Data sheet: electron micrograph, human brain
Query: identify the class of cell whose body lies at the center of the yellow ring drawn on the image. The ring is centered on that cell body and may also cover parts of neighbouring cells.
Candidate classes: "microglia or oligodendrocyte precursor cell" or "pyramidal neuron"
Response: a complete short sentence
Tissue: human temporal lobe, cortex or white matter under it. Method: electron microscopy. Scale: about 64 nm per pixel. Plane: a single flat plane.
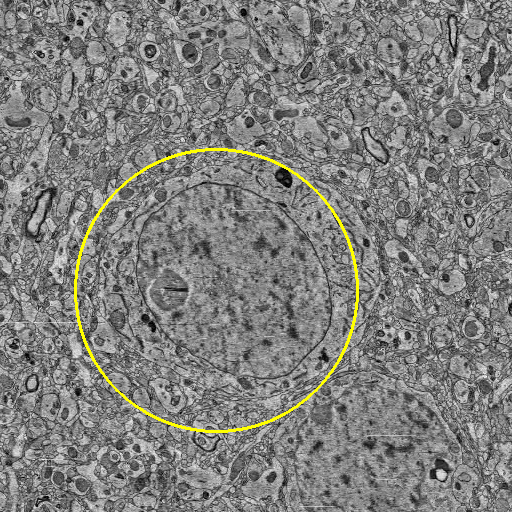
At the center of the ring lies a pyramidal neuron.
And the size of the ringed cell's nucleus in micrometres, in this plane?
The nucleus appears roughly 14 by 12 micrometres in this plane.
